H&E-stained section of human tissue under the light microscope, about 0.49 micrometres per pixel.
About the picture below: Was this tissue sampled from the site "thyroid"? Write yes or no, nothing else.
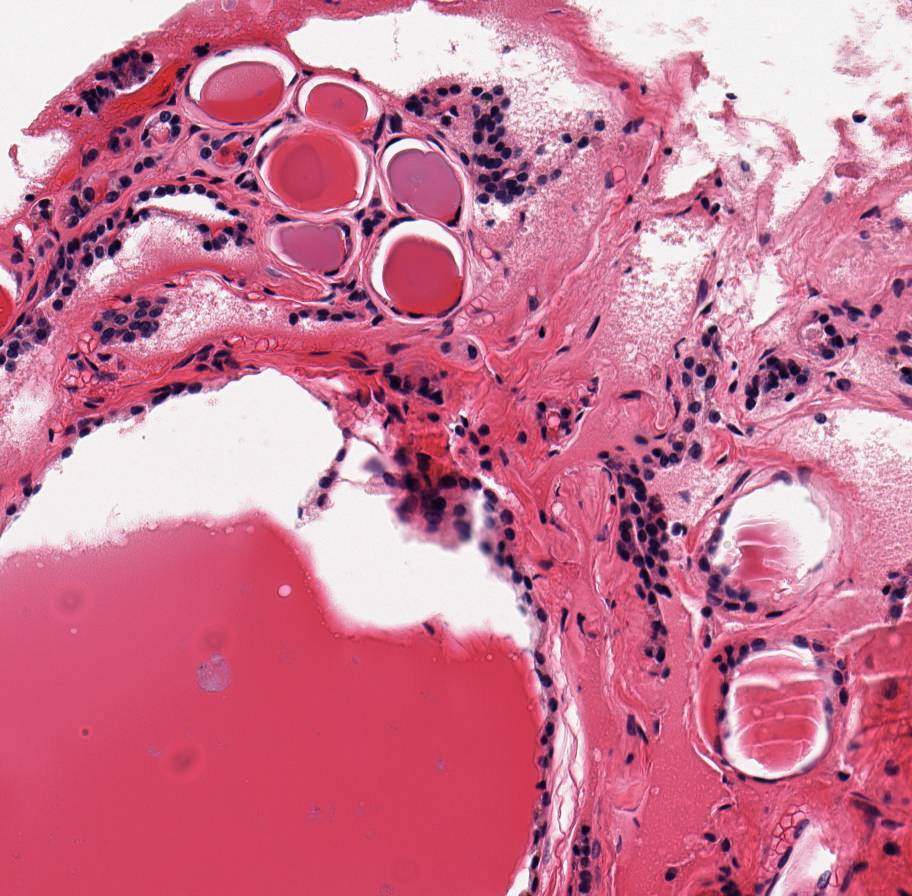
yes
